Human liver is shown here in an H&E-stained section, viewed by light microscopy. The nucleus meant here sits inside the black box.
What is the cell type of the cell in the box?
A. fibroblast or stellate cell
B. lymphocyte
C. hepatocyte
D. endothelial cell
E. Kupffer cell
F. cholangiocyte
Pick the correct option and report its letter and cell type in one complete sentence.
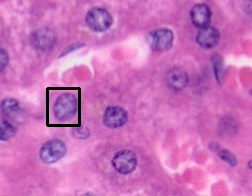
The choice that fits is option F, as the cell in the box is a cholangiocyte.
